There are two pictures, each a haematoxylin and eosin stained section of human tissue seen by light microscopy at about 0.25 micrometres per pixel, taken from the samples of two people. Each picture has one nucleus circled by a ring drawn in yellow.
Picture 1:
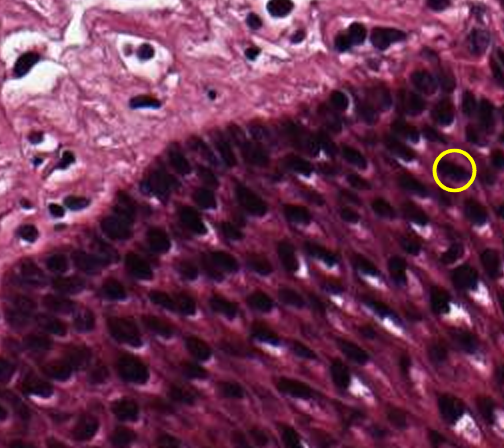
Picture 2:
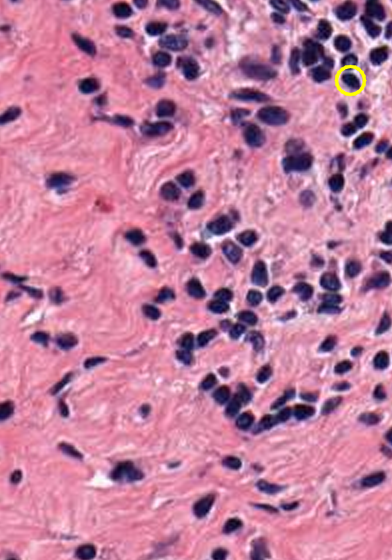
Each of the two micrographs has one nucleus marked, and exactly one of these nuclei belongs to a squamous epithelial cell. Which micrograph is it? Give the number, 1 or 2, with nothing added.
1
